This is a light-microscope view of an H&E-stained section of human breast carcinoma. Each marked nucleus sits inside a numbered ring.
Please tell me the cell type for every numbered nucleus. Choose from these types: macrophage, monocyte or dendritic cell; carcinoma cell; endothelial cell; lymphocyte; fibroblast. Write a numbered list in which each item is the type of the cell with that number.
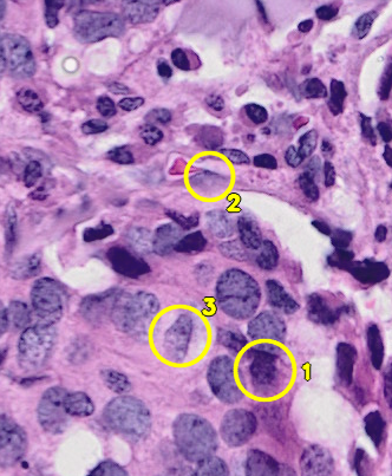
1. carcinoma cell
2. endothelial cell
3. carcinoma cell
